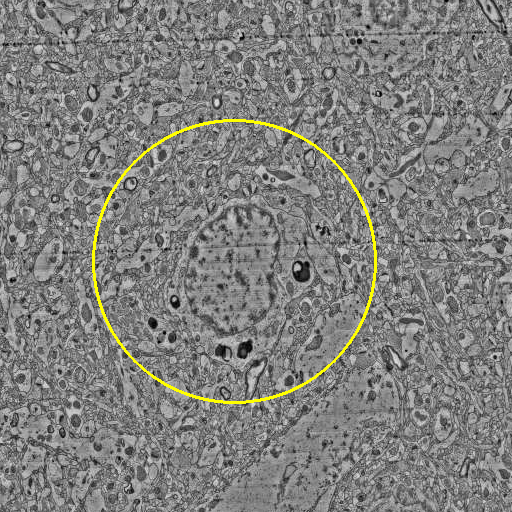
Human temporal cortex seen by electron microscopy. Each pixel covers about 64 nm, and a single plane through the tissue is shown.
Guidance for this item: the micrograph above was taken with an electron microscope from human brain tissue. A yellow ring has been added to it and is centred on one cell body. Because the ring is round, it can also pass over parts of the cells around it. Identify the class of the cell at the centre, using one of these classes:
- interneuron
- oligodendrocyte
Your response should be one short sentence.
The ring surrounds the body of an interneuron.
